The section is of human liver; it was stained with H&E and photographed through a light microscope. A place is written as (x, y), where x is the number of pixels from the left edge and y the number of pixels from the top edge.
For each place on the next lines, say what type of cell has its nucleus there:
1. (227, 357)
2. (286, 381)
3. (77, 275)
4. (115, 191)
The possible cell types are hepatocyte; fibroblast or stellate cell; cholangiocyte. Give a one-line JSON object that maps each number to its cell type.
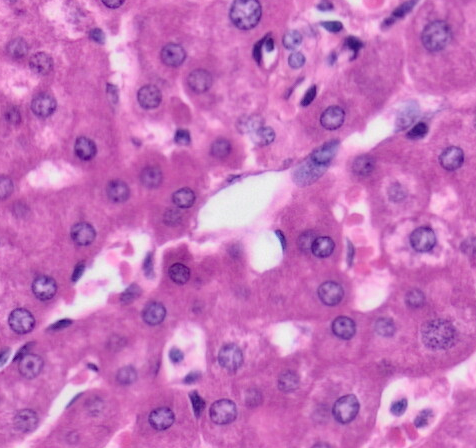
{"1": "hepatocyte", "2": "hepatocyte", "3": "fibroblast or stellate cell", "4": "hepatocyte"}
